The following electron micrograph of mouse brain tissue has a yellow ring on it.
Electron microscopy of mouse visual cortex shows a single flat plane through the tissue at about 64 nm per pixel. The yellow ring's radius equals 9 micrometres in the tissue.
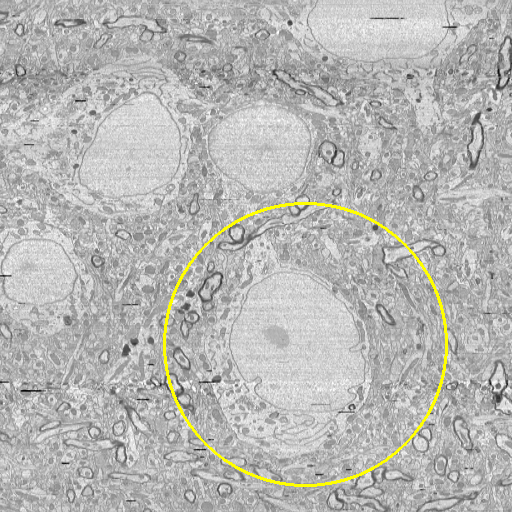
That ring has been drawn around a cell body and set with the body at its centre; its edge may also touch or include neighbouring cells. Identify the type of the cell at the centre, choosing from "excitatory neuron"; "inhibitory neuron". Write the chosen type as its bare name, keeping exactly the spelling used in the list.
excitatory neuron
